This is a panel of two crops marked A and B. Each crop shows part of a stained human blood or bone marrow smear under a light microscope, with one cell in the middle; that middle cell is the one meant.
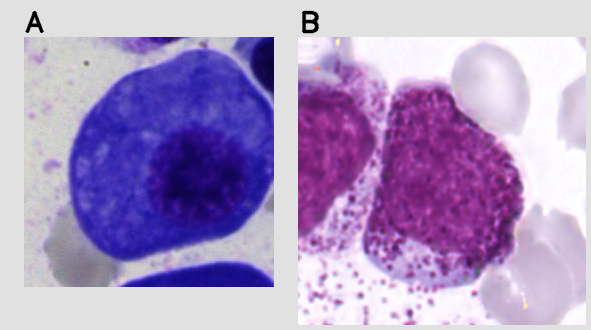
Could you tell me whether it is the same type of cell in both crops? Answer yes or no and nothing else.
no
